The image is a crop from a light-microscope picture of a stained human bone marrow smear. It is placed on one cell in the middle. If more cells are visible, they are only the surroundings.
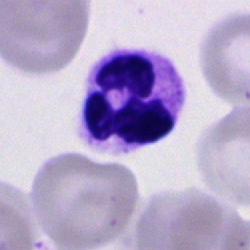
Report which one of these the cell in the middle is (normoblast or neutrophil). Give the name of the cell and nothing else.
neutrophil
